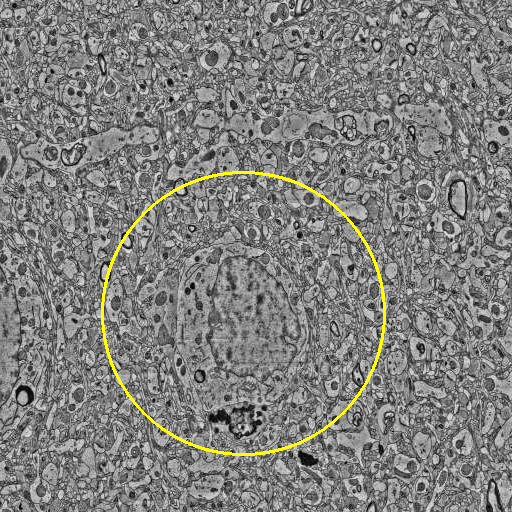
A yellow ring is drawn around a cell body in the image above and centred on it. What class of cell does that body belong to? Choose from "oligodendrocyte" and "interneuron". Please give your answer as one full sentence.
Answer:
The yellow ring above is centred on the cell body of an interneuron.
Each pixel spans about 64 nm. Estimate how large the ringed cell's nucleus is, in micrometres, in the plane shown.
Approximately 8 by 6 micrometers in this plane.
